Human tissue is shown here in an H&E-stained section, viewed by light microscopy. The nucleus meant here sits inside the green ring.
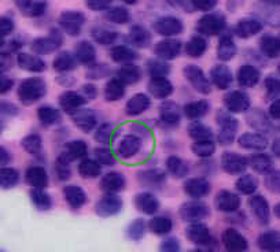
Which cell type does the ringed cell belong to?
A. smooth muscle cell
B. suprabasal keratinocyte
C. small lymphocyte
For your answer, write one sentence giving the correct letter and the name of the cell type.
The correct option is C, and the ringed cell is a small lymphocyte.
